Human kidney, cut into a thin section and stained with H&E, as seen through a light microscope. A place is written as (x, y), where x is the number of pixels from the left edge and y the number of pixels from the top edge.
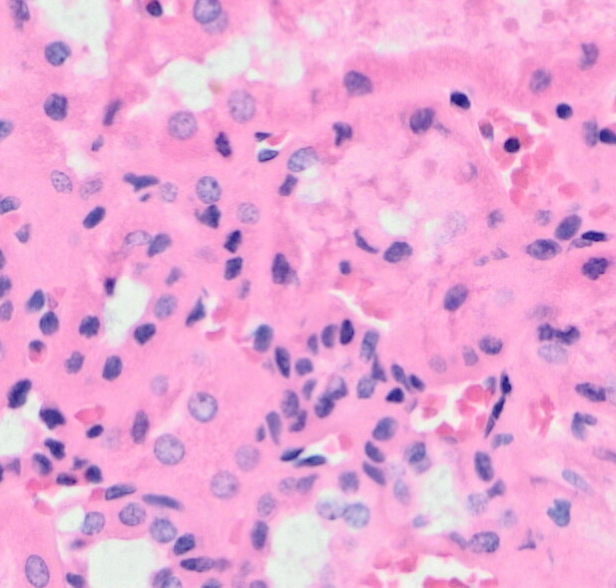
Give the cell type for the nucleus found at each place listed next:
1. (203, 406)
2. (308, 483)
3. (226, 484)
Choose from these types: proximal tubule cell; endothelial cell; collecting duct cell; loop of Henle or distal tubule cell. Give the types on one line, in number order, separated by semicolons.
proximal tubule cell; collecting duct cell; proximal tubule cell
